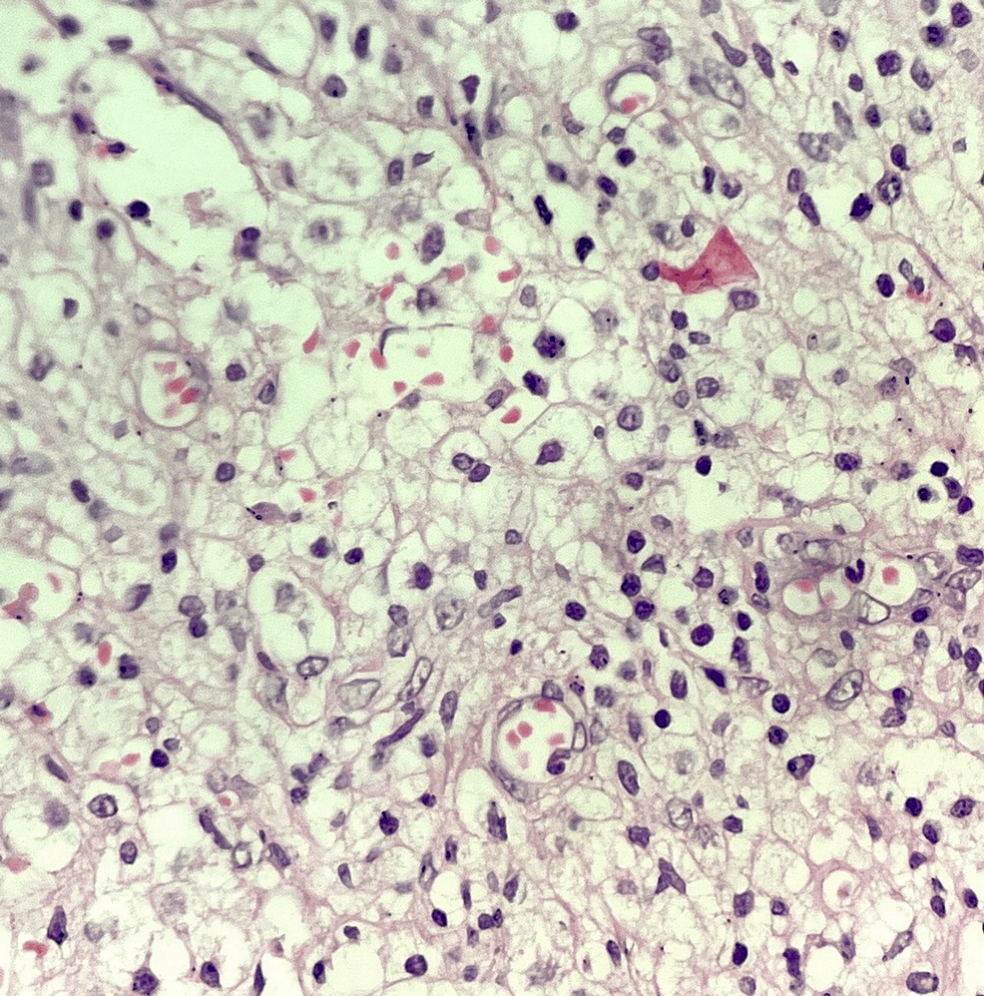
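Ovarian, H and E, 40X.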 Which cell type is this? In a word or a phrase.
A: Foamy macrophages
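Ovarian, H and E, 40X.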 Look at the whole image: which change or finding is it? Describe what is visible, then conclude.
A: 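The field is filled with sheets of foamy, lipid-laden-looking cells. Scattered small dark round nuclei of inflammatory cells lie among them. No normal spindle-cell stroma is left in the field.
Xanthogranulomatous inflammation.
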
